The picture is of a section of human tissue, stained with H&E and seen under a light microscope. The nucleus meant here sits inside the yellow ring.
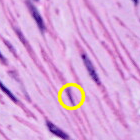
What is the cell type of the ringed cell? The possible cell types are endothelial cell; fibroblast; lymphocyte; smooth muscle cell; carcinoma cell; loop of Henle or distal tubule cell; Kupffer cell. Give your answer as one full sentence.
What the ringed cell represents is a fibroblast.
